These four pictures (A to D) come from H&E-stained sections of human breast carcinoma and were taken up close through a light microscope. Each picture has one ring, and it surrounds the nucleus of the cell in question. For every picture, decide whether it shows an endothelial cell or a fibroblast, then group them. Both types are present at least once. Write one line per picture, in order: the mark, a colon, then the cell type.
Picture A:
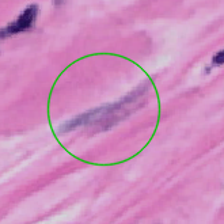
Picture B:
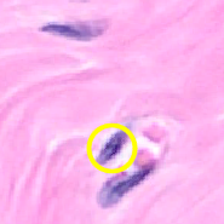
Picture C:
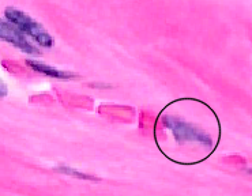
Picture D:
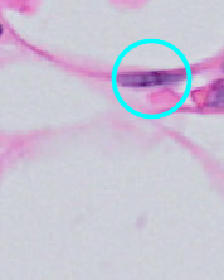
A: fibroblast
B: endothelial cell
C: endothelial cell
D: endothelial cell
